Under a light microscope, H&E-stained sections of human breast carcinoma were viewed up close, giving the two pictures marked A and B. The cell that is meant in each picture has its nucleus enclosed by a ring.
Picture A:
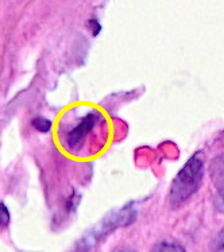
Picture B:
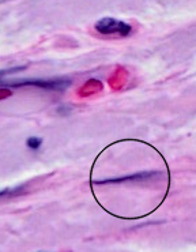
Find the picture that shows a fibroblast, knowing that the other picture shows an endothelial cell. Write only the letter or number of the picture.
B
